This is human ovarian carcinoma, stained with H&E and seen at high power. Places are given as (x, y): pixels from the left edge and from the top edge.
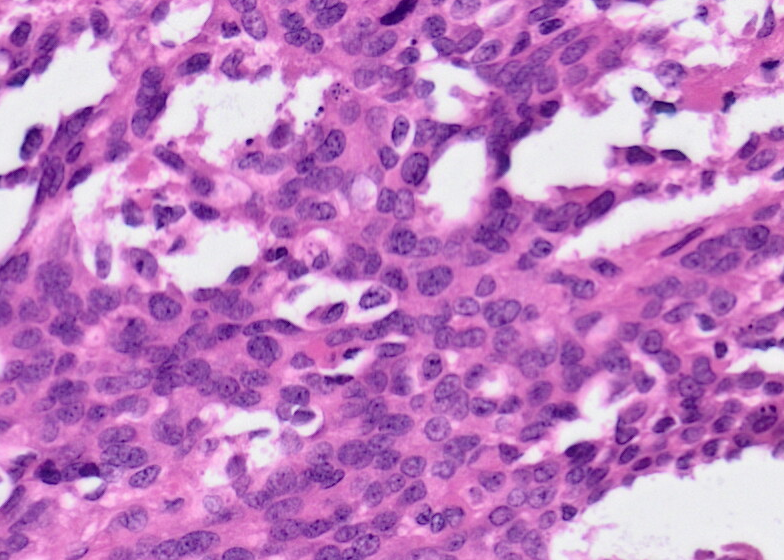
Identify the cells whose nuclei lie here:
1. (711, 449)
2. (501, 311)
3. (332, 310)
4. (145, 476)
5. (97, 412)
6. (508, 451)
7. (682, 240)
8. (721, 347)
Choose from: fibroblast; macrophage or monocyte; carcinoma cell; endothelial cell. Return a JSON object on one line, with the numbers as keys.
{"1": "carcinoma cell", "2": "carcinoma cell", "3": "macrophage or monocyte", "4": "macrophage or monocyte", "5": "carcinoma cell", "6": "carcinoma cell", "7": "fibroblast", "8": "carcinoma cell"}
